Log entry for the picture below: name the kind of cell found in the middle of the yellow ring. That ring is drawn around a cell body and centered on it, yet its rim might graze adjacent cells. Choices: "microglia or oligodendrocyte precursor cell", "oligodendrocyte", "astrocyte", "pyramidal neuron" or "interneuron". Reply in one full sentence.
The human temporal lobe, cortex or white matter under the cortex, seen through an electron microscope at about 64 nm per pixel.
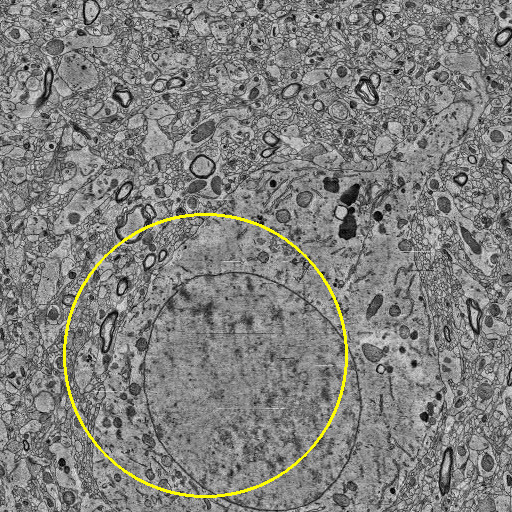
The cell in the middle of the yellow ring in this picture is a pyramidal neuron.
